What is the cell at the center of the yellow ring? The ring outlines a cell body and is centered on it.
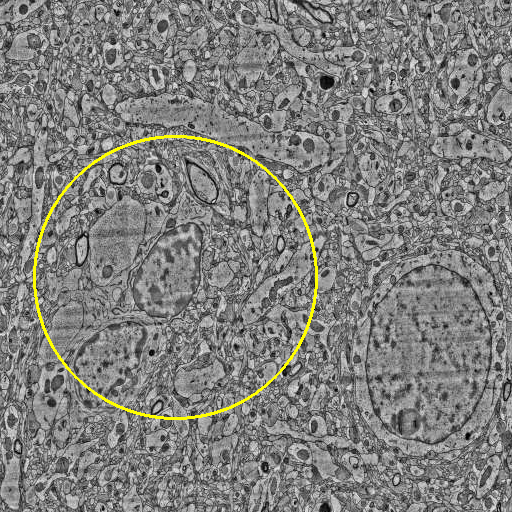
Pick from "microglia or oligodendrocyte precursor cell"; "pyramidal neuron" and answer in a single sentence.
The yellow ring is centered on a microglial cell or oligodendrocyte precursor cell.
